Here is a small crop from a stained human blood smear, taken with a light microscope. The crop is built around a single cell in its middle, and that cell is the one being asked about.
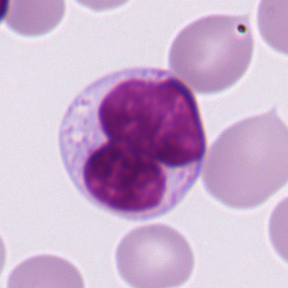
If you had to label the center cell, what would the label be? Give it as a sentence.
The centrally placed cell is classified as a large granular lymphocyte.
